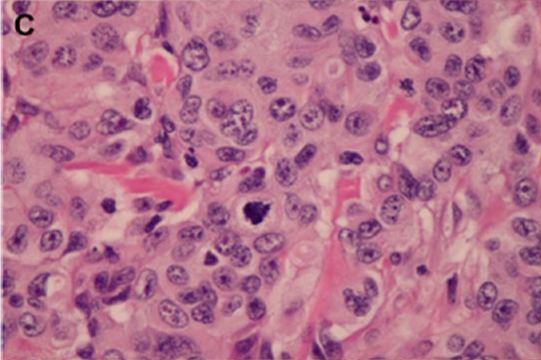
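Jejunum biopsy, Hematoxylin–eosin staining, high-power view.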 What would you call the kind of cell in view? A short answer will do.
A: Tumor cells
